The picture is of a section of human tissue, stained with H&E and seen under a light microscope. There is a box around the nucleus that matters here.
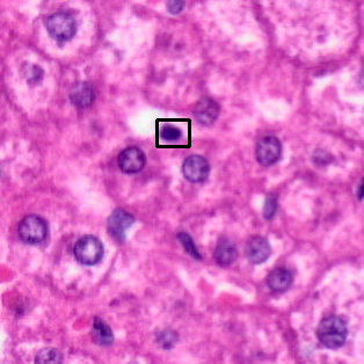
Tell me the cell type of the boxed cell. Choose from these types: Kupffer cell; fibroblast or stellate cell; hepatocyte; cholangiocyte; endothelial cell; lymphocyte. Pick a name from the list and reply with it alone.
lymphocyte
